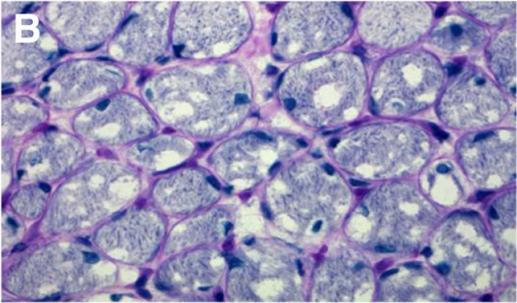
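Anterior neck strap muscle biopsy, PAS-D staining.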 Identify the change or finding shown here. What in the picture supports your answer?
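Most fibre cross-sections contain one or more clear, empty spaces. The fibres are round profiles separated by pink interstitial tissue. The answer: vacuolation.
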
